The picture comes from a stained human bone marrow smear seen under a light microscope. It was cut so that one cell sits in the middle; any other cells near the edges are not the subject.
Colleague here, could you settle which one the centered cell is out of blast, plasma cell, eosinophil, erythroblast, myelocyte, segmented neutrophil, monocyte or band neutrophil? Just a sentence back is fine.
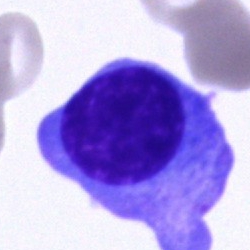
The cell at the middle of the crop is recognized as a plasma cell.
